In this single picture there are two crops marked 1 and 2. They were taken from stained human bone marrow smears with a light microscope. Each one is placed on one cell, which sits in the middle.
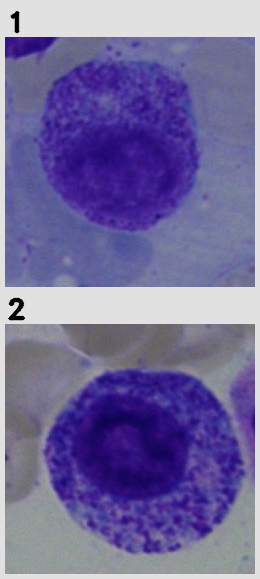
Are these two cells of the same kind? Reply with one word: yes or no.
yes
